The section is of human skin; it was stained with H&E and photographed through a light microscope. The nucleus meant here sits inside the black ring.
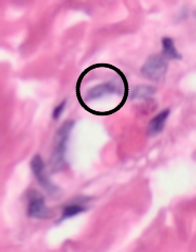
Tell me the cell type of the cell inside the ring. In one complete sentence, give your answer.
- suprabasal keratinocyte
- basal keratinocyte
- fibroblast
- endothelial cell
It is as an endothelial cell that the cell inside the ring is classified.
